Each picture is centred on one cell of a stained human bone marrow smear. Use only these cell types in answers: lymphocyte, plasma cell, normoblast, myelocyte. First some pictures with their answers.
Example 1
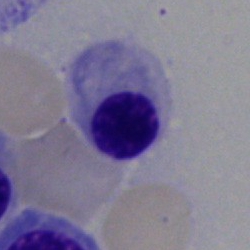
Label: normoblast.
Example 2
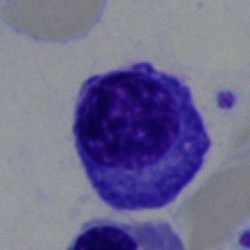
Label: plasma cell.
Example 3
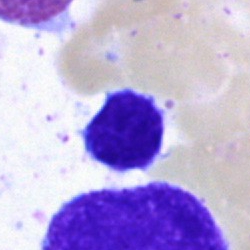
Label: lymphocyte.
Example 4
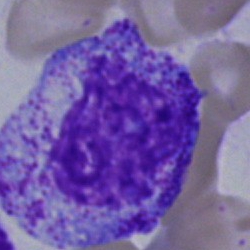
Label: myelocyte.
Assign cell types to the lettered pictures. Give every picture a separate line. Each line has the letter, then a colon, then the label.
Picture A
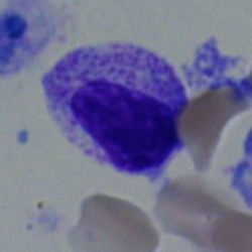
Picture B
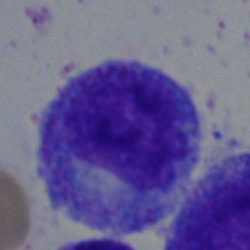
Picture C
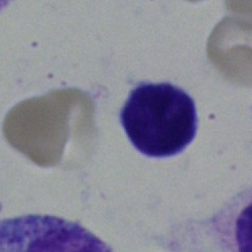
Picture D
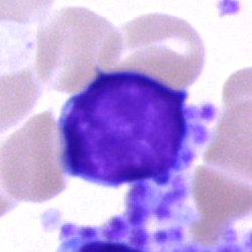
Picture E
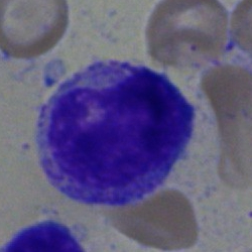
A: myelocyte.
B: myelocyte.
C: lymphocyte.
D: lymphocyte.
E: myelocyte.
